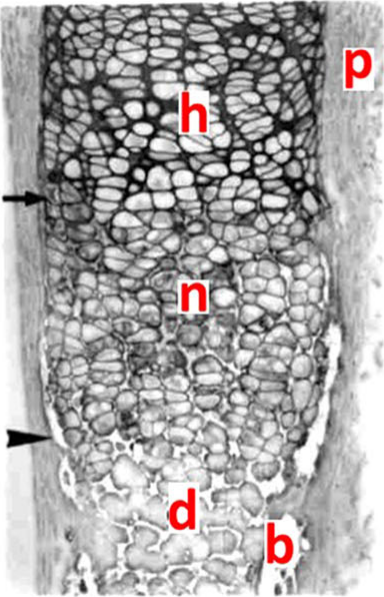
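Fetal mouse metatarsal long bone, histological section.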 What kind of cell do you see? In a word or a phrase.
chondrocytes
